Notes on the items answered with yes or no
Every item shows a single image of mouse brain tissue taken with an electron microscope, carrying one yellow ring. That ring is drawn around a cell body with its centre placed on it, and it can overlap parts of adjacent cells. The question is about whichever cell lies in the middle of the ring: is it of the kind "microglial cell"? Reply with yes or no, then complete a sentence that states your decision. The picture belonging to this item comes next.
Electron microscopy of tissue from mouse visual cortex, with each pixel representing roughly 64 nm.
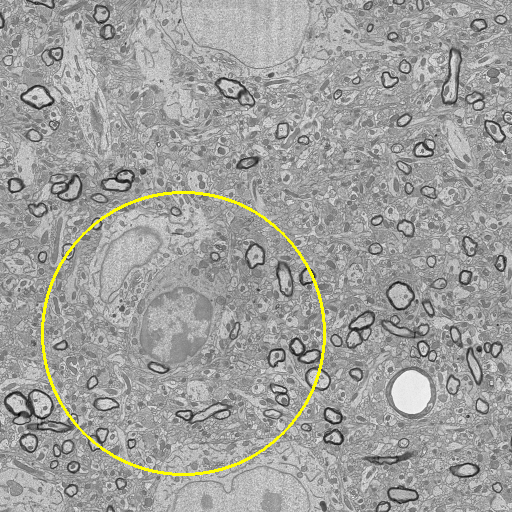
No, this micrograph shows a cell of another kind in the middle of the ring.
